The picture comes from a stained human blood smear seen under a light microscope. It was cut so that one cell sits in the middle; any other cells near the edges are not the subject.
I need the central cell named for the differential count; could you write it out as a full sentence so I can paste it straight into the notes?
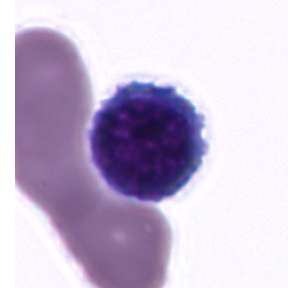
The crop centres on a single cell, and that cell is a plasma cell.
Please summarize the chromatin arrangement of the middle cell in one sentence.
The chromatin pattern here is coarse and clumped.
